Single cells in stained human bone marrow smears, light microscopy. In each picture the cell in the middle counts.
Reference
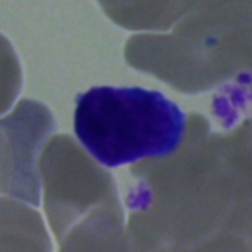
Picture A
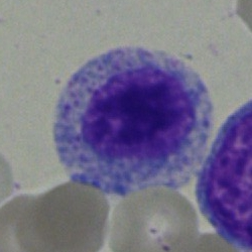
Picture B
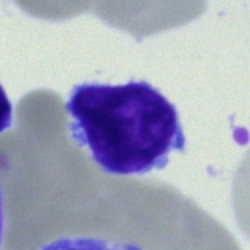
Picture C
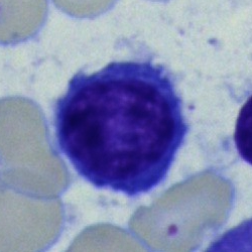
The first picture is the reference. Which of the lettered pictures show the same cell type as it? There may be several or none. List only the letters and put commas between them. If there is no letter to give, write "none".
B, C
